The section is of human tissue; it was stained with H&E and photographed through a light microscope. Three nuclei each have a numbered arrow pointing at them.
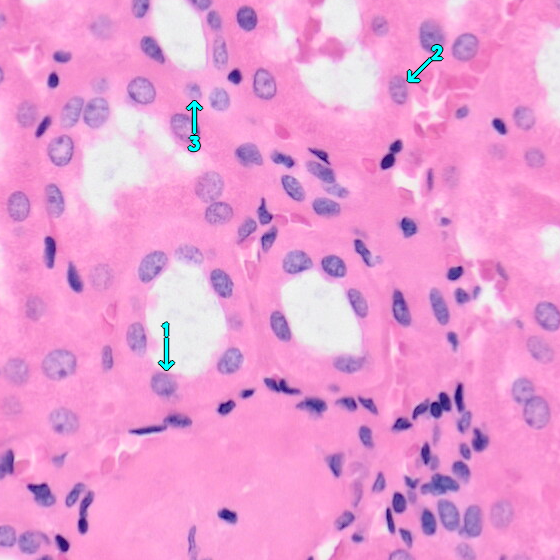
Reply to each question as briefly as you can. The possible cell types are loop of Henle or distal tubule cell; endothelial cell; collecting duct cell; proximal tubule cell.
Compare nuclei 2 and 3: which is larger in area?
2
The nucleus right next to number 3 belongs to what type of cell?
collecting duct cell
